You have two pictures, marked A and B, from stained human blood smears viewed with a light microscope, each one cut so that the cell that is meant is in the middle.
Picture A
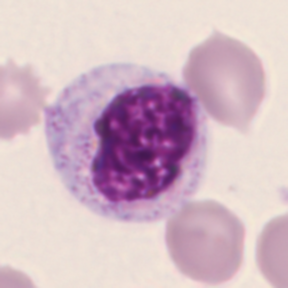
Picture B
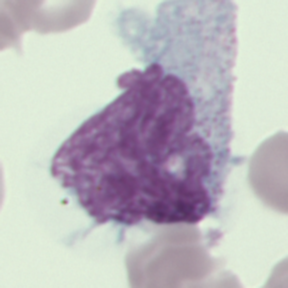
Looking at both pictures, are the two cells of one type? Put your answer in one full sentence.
No. Picture A shows a metamyelocyte, but picture B shows a monocyte.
